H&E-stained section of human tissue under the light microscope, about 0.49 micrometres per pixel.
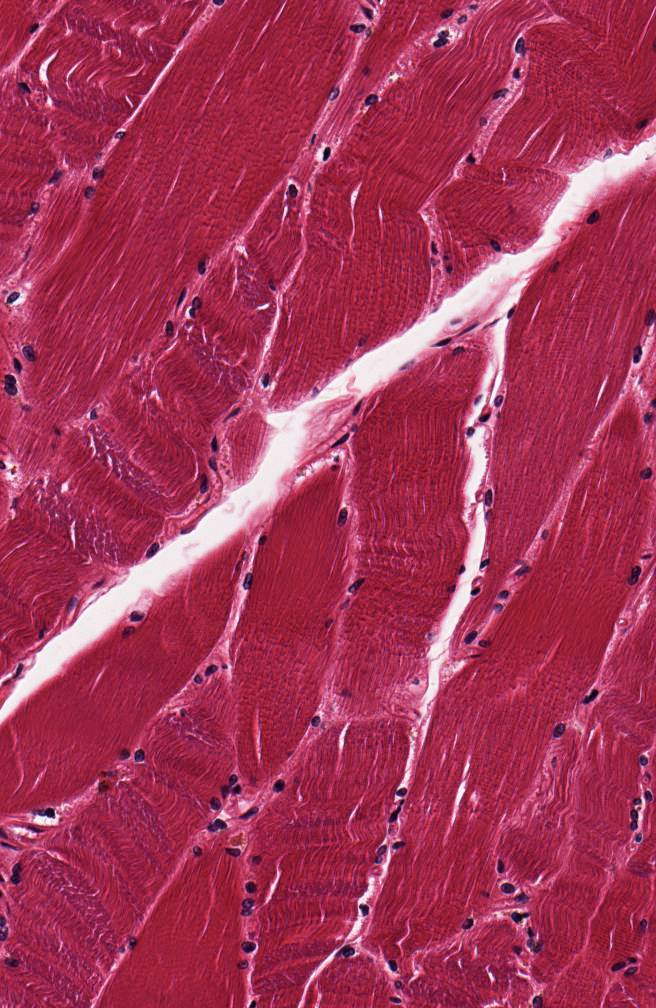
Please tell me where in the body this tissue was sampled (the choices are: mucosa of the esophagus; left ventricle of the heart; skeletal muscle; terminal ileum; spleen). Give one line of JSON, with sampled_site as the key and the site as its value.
{"sampled_site": "skeletal muscle"}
